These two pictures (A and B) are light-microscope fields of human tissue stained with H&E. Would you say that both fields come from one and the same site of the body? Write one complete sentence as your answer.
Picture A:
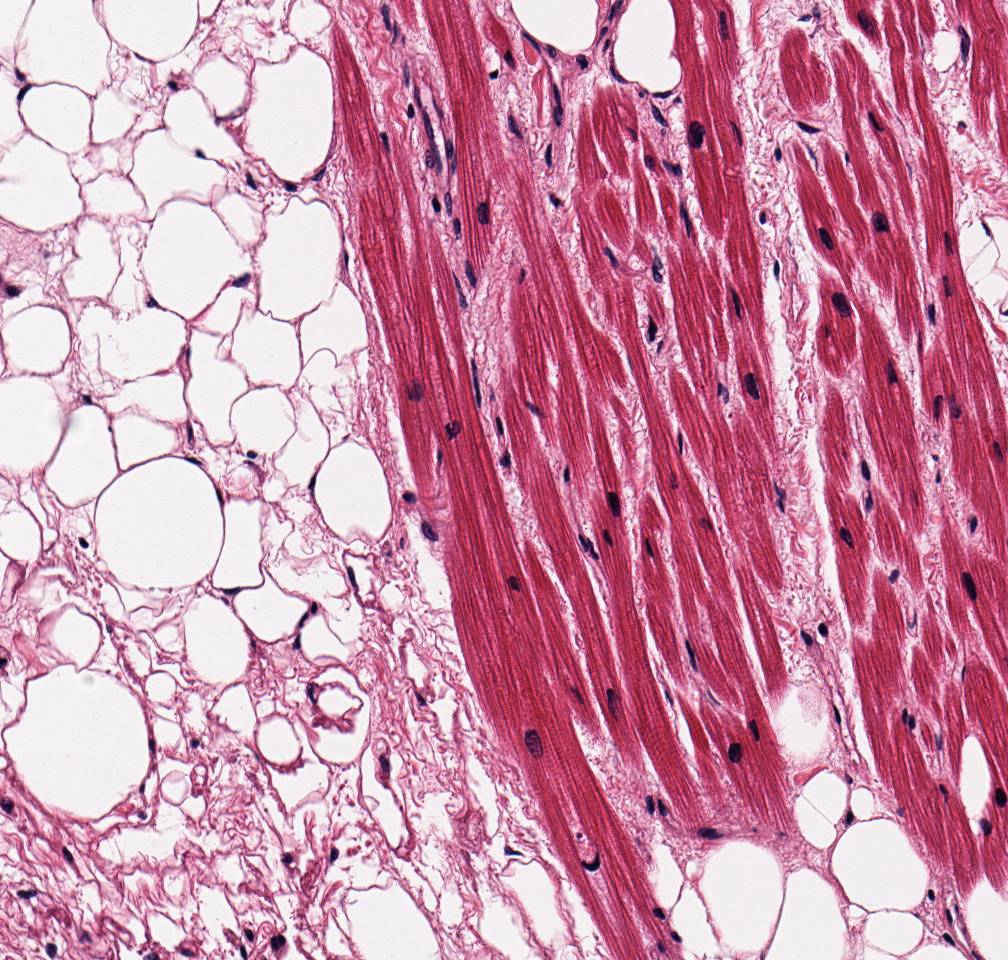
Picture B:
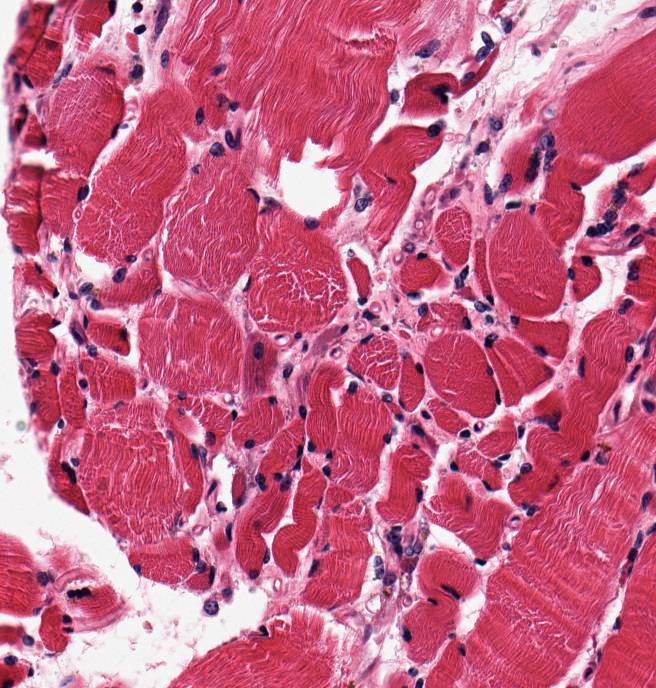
No. Picture A comes from the atrial appendage of the heart, whereas picture B comes from skeletal muscle.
